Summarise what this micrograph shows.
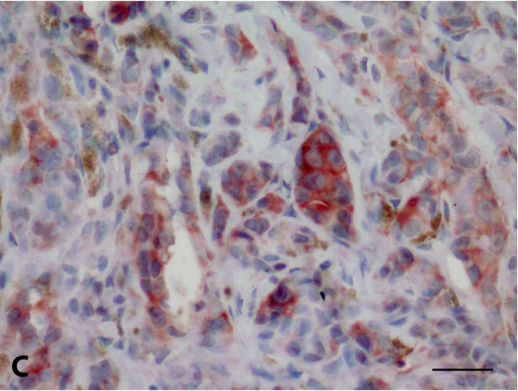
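This tumour is made of rounded to polygonal cells with oval blue nuclei, lying in small nests and cords separated by pale, loose fibrous stroma. Some cells and clusters have intense red cytoplasm, while many neighbouring cells stain only pale blue, so the red is patchy across the field. The strongly red cells are often larger, with abundant cytoplasm. Scattered brown granular pigment is present in some cells, especially toward the upper left. Small clear spaces lie between the groups of cells.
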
